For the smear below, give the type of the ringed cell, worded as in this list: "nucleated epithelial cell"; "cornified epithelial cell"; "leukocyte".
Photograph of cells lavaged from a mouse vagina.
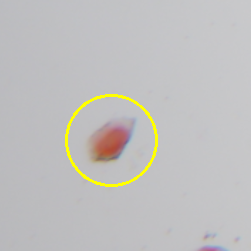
cornified epithelial cell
